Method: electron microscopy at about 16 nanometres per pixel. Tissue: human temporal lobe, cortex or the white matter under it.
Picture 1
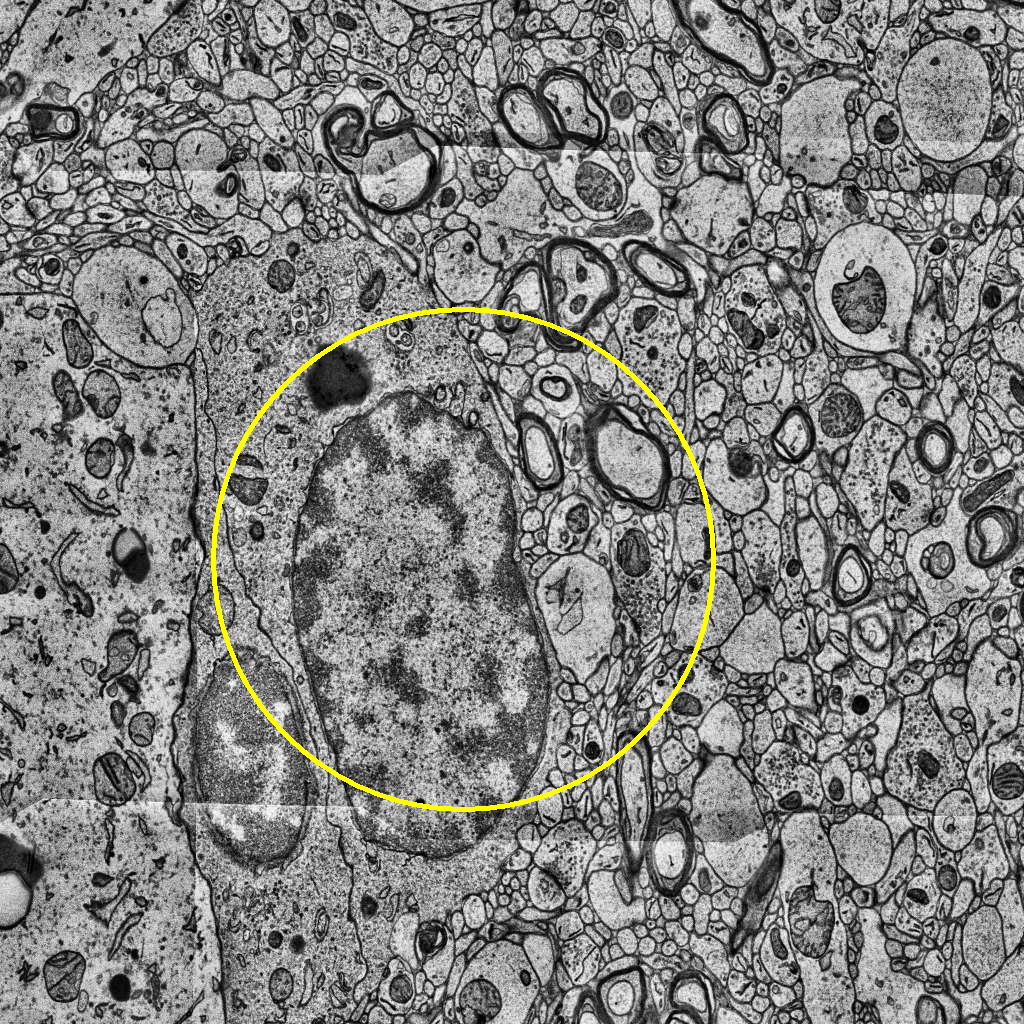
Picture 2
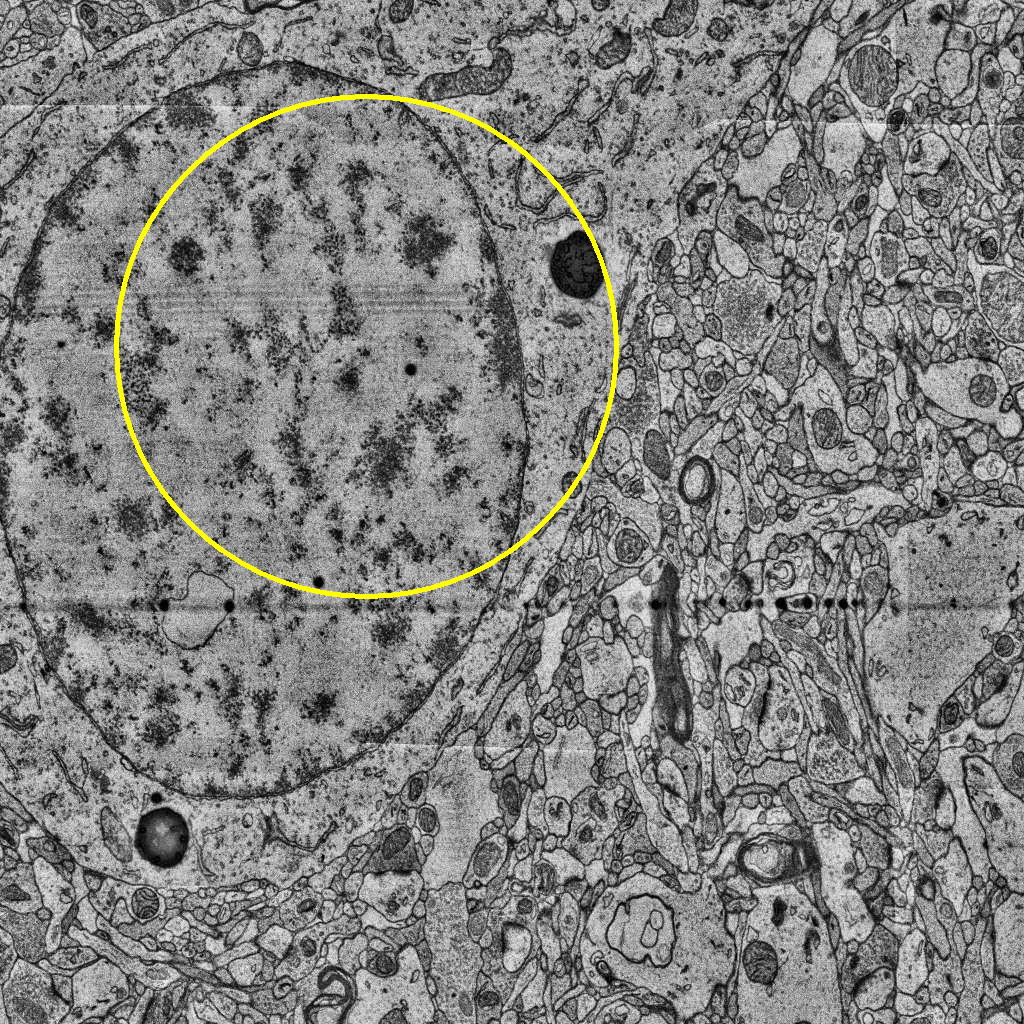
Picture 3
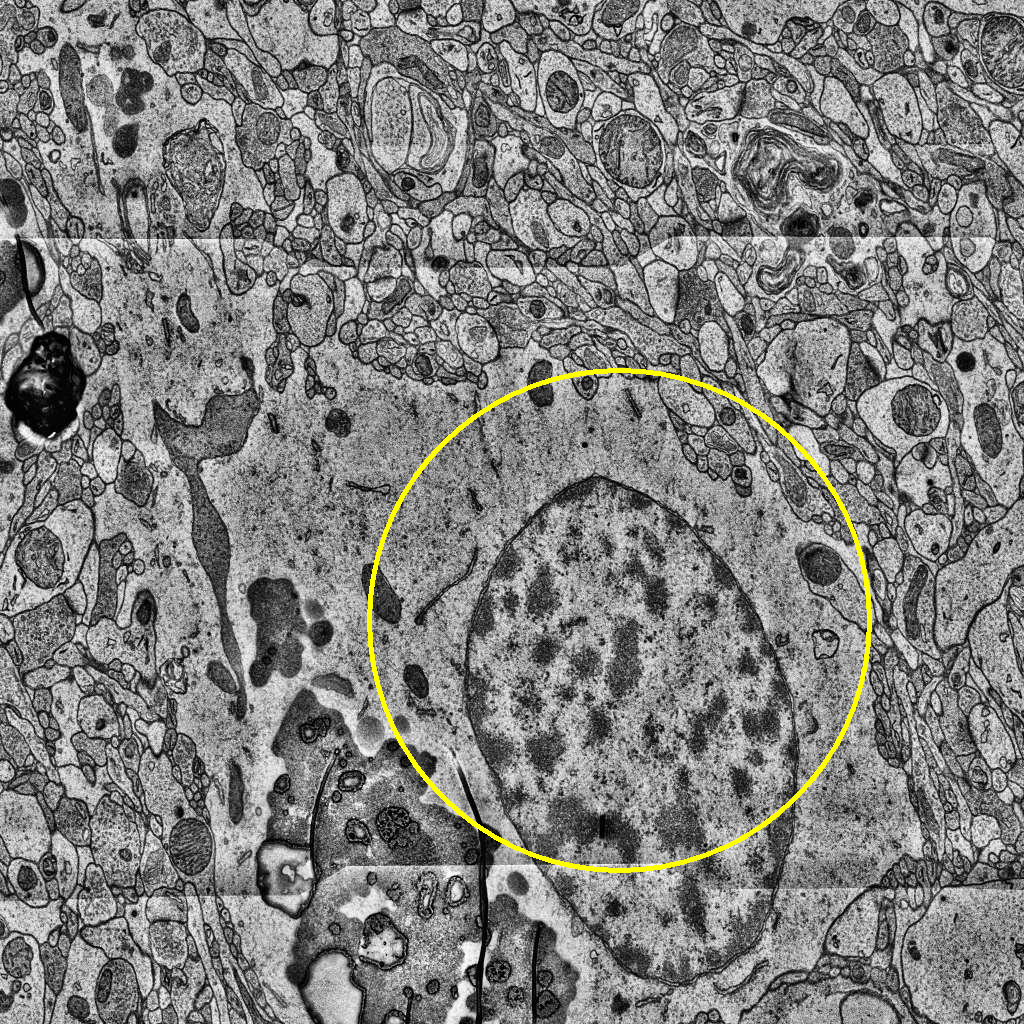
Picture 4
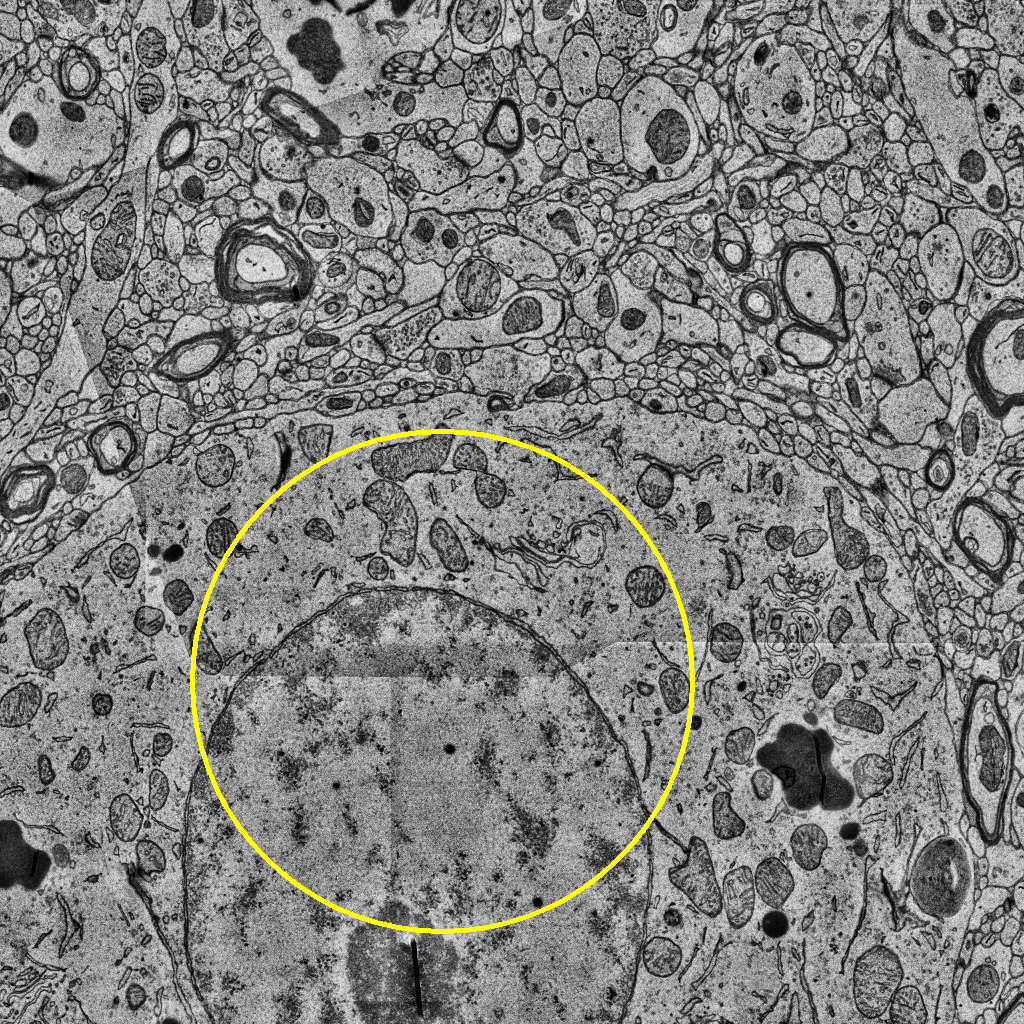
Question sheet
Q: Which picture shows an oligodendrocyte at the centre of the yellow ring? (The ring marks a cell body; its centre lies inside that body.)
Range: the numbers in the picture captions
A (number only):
1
